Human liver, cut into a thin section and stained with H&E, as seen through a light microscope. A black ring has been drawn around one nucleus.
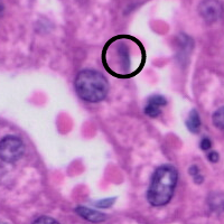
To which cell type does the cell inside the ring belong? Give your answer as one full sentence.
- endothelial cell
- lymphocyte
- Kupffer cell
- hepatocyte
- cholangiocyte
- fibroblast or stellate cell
Typologically, the cell inside the ring is an endothelial cell in this section.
